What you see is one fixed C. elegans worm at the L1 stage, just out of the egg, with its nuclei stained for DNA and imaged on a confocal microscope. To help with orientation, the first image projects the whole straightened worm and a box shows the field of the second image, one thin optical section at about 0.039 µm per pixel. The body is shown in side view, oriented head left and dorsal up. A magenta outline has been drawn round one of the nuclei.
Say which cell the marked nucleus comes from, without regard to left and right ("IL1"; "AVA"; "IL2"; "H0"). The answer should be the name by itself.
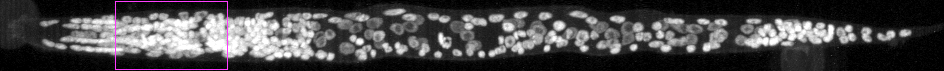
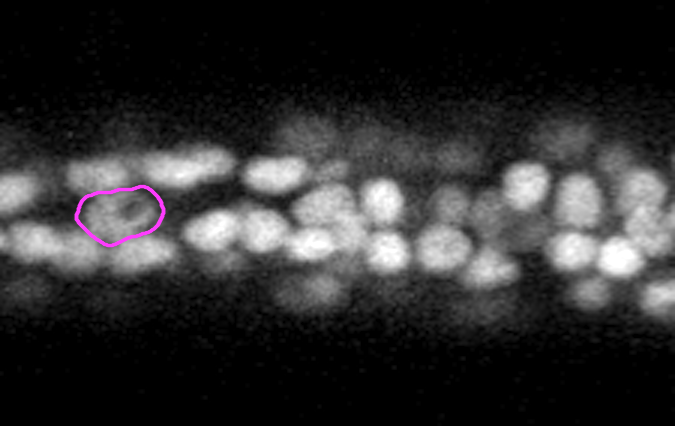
H0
